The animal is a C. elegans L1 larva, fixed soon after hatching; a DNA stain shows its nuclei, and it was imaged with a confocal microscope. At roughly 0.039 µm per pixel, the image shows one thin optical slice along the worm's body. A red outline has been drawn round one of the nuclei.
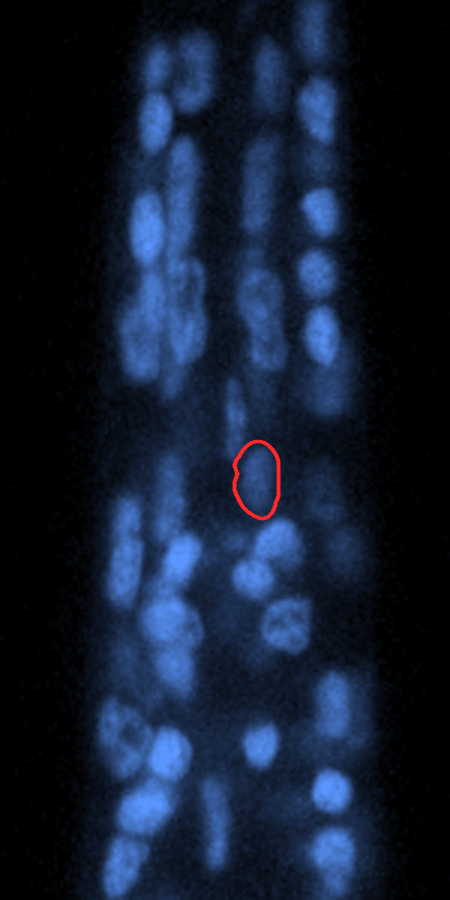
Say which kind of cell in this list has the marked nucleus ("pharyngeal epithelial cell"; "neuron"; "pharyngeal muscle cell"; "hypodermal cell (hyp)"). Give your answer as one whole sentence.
What is marked is the nucleus of a neuron.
